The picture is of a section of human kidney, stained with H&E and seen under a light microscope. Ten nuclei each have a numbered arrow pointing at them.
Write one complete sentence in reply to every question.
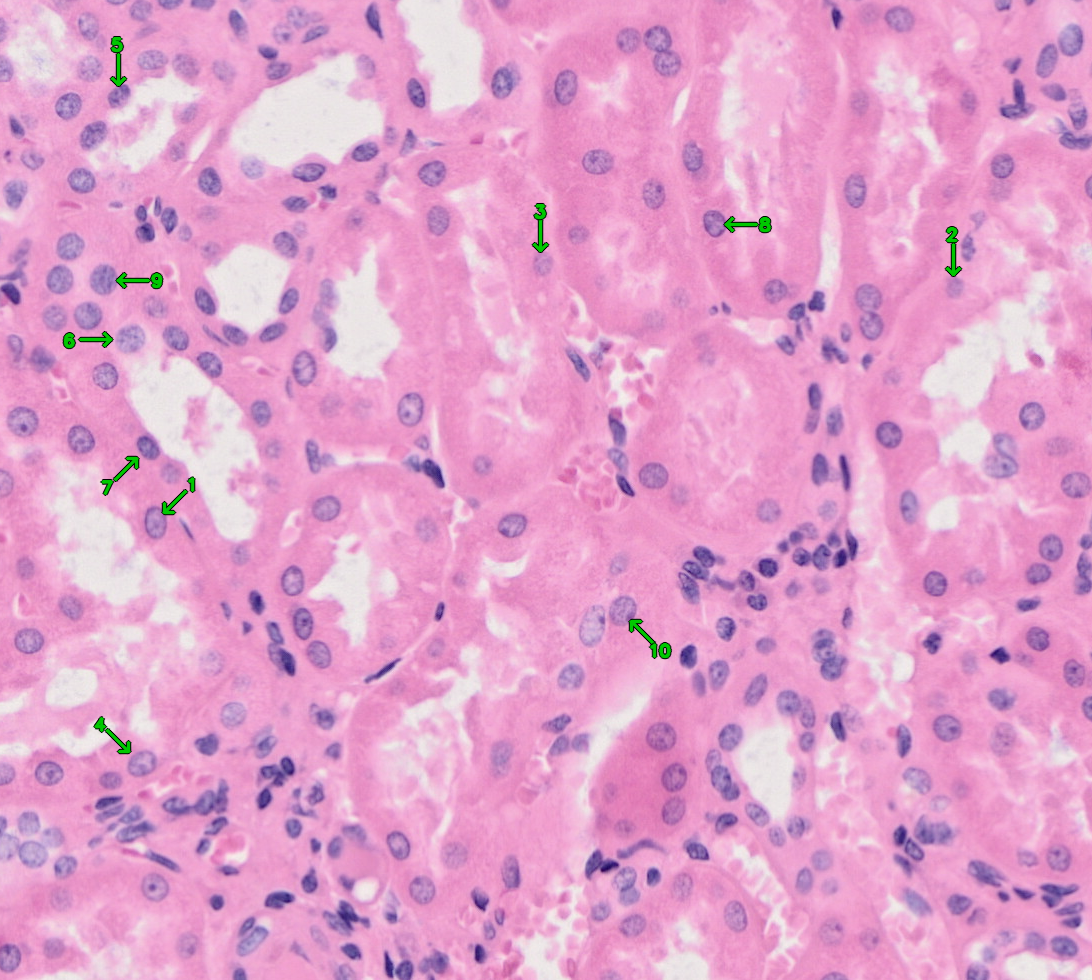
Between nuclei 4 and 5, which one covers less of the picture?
With nucleus 4 about 1.5 times its size, nucleus 5 is the smaller of the two.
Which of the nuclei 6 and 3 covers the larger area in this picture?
The larger nucleus is 6, at roughly 2 times the area of 3.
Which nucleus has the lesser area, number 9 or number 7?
Nucleus 7 covers less area, with nucleus 9 about 1.5 times as large.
